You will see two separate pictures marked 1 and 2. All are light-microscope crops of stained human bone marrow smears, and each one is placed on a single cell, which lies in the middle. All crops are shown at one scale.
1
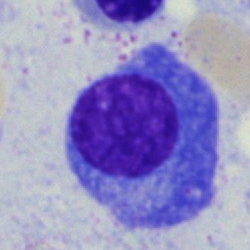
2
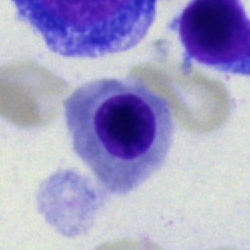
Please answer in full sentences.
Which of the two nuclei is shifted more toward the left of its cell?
The nucleus in picture 1 lies further toward the left of its cell.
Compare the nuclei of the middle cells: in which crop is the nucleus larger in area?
It is the nucleus in picture 1, about 3 times as large in area as the one in picture 2.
